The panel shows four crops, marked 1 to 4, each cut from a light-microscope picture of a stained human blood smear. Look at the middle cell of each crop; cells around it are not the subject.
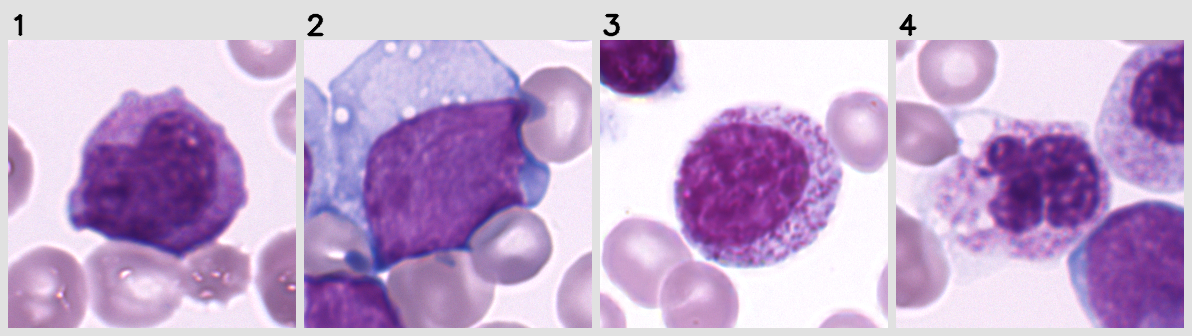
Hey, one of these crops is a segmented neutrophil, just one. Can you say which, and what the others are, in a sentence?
The middle cell of crop 4 is a segmented neutrophil, while crop 1 is an atypical promyelocyte, crop 2 is a myeloblast and crop 3 is a myelocyte.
